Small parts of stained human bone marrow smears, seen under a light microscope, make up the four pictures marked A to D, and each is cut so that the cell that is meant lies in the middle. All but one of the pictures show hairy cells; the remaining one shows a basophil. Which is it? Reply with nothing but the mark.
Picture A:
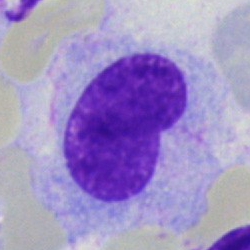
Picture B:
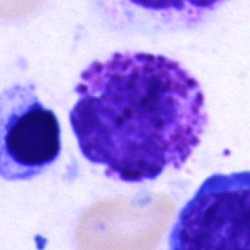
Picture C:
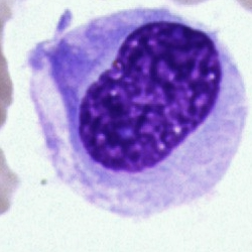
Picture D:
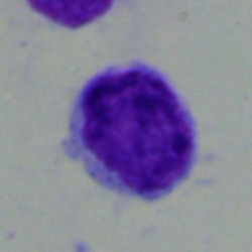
B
